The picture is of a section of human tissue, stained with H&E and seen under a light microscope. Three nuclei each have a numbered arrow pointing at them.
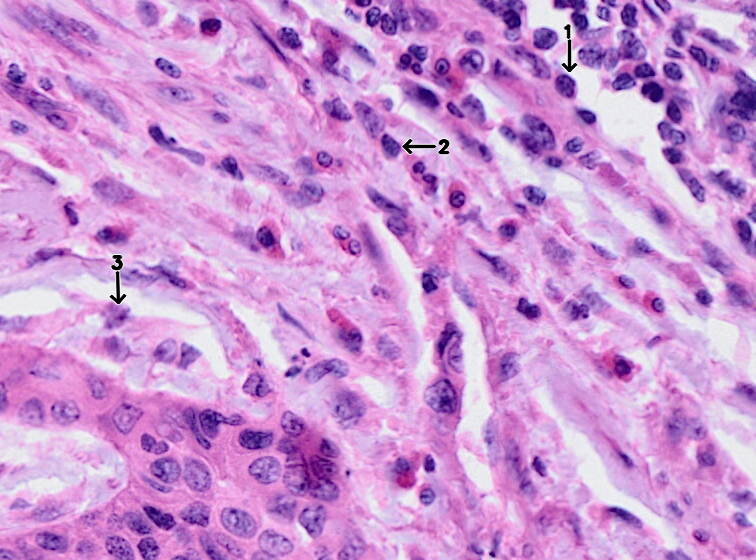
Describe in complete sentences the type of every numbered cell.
Cell 1 is a lymphocyte, cell 2 is a lymphocyte and cell 3 is a fibroblast.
